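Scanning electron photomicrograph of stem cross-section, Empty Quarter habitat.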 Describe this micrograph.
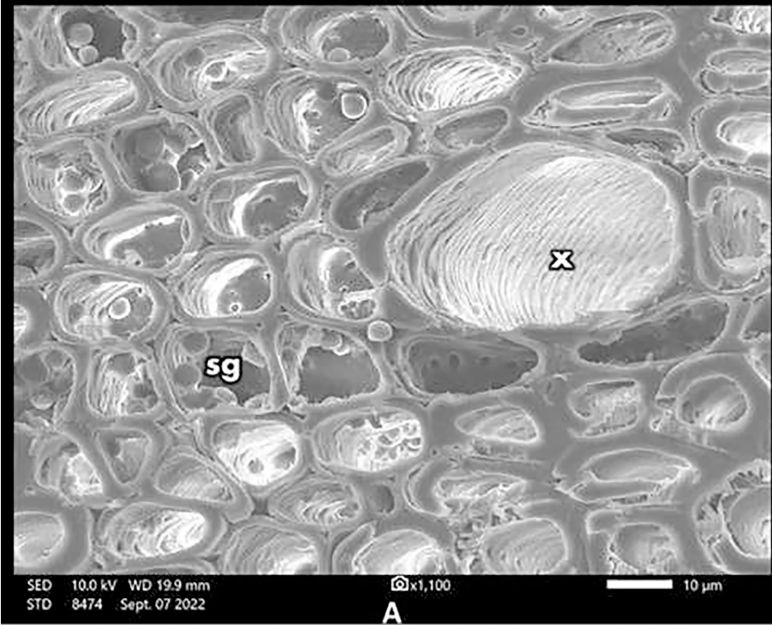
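The cells are rounded to oval, closely set, with smooth walls fused into a continuous matrix. Many cell interiors show finely striated, layered surfaces, and several contain small smooth spherical starch grains. The vessel stands out as a broad oval element whose interior is filled with curving parallel striations.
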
